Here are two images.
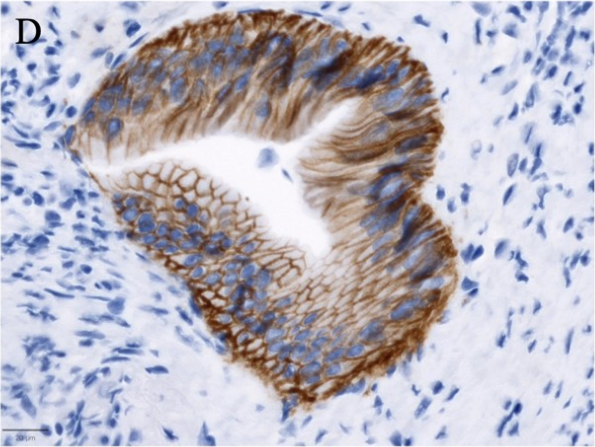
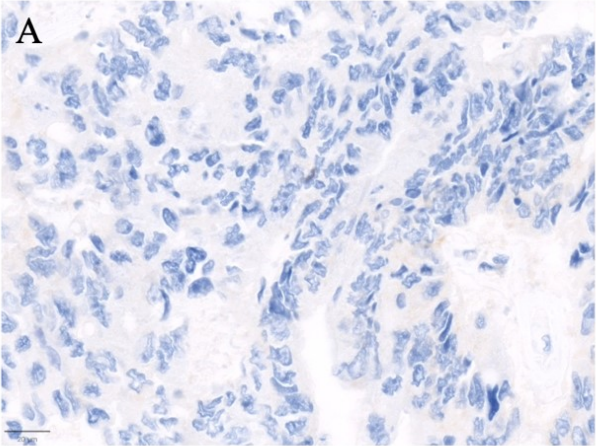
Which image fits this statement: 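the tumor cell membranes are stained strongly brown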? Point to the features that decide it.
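The first image. First image: thick dark brown lines outline every cell of the gland. Second image: tumor cells show only blue nuclei with no brown outline of the membranes.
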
